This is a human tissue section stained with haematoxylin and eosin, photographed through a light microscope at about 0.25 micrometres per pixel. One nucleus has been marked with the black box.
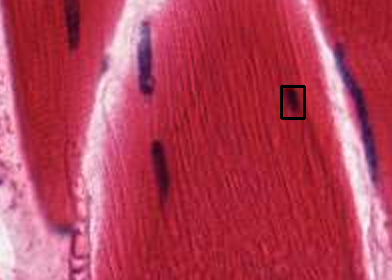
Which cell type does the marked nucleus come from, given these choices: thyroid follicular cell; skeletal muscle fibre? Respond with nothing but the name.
skeletal muscle fibre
